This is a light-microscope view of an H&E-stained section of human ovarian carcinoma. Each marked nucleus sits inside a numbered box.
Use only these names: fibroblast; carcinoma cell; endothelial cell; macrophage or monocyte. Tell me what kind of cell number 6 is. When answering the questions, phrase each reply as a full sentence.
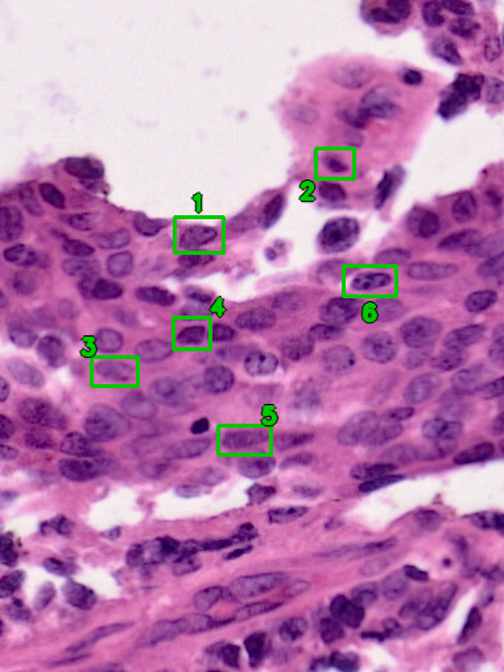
The nucleus with number 6 is that of a macrophage or monocyte.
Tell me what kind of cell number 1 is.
Belonging to a carcinoma cell is the nucleus that carries the number 1.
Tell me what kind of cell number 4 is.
Nucleus 4 in this section belongs to a carcinoma cell.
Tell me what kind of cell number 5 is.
Among the marked cells, number 5 is a carcinoma cell.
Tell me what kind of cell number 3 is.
The mark numbered 3 indicates the nucleus of a carcinoma cell.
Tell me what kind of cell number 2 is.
The nucleus marked 2 is the nucleus of an endothelial cell.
